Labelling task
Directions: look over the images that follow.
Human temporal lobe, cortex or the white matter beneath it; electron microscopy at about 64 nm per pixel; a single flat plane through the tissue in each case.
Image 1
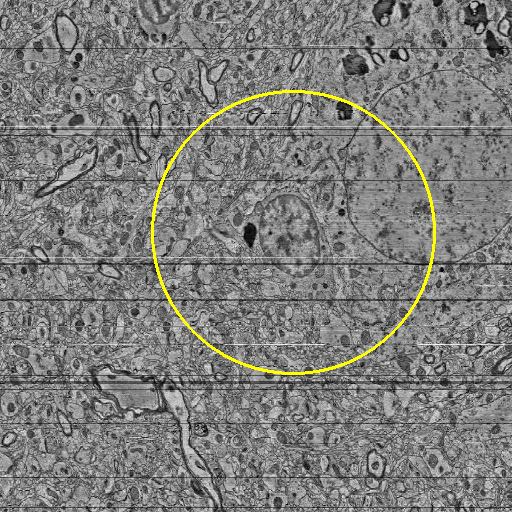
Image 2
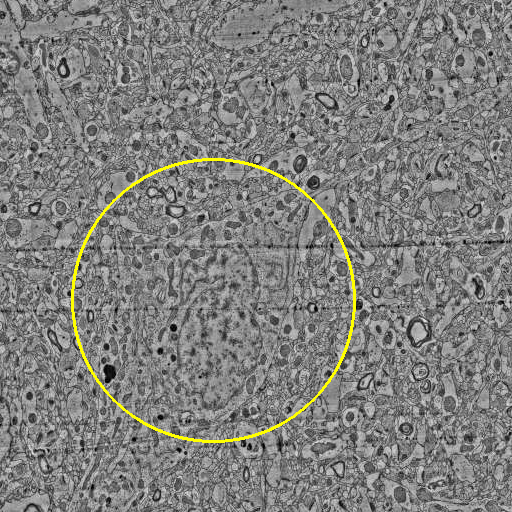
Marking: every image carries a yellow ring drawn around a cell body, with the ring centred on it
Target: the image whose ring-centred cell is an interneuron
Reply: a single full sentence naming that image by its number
The requested cell sits at the ring's centre in Image 2.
